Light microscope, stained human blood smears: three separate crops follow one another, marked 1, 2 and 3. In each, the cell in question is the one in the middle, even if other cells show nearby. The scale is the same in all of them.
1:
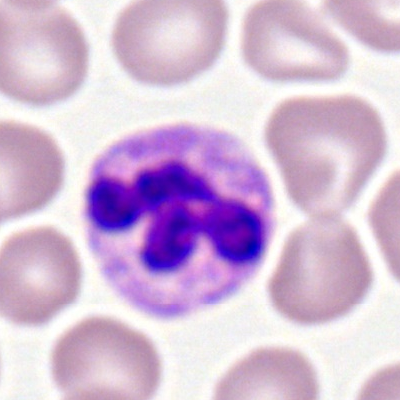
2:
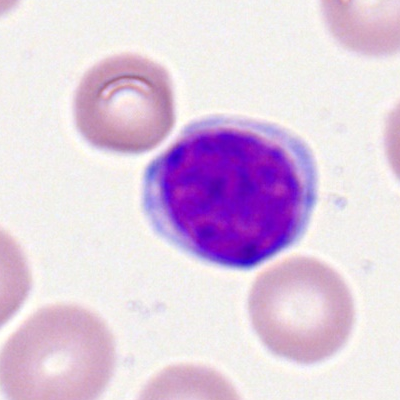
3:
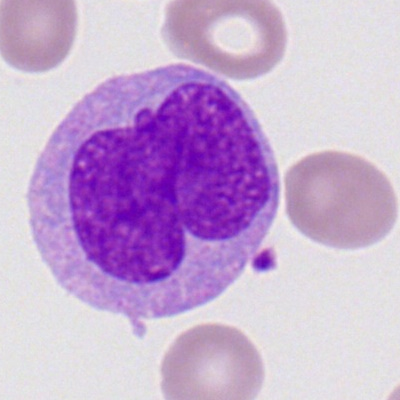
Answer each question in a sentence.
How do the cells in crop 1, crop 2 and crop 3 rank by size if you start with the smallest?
Smallest first: 2, 1, 3.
